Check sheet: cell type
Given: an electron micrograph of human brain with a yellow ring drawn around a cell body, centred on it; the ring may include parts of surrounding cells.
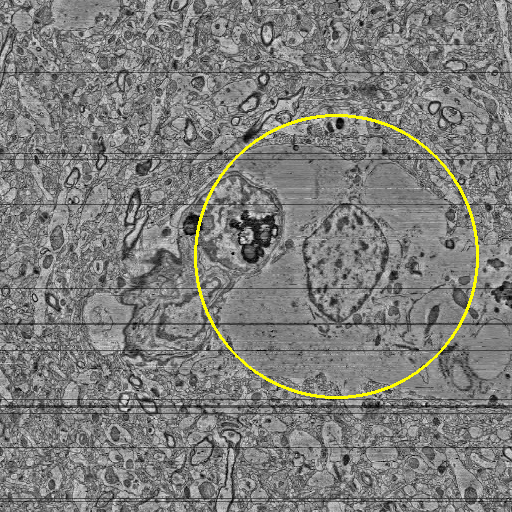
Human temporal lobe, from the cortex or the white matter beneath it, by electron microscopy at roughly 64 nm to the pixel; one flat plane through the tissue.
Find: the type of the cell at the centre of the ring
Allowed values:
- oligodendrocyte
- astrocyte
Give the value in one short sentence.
Here the ringed cell is an astrocyte.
